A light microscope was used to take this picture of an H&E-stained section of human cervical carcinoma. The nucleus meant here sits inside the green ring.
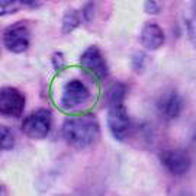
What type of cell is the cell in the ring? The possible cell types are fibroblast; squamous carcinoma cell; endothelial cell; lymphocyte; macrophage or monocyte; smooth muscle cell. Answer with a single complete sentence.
By cell type, the cell in the ring is a lymphocyte.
